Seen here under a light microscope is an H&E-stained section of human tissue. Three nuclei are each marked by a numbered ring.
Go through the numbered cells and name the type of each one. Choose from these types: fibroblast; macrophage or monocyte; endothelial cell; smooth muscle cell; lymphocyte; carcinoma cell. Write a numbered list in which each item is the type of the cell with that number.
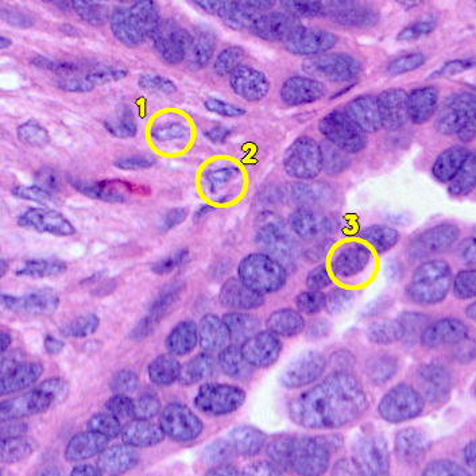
1. fibroblast
2. fibroblast
3. carcinoma cell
